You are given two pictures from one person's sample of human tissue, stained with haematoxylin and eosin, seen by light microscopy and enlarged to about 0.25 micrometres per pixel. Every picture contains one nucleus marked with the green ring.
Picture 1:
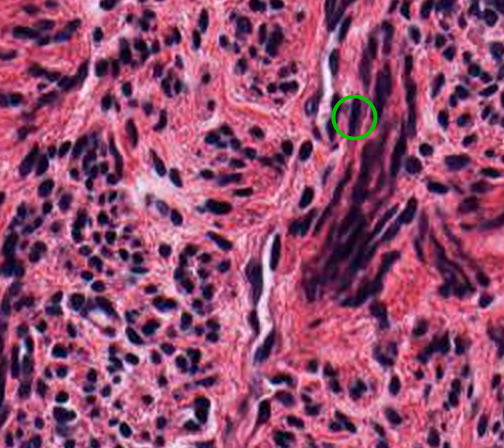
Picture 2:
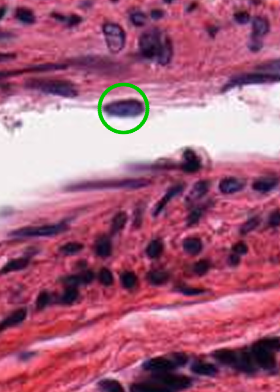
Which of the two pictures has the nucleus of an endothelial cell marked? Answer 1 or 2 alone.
2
